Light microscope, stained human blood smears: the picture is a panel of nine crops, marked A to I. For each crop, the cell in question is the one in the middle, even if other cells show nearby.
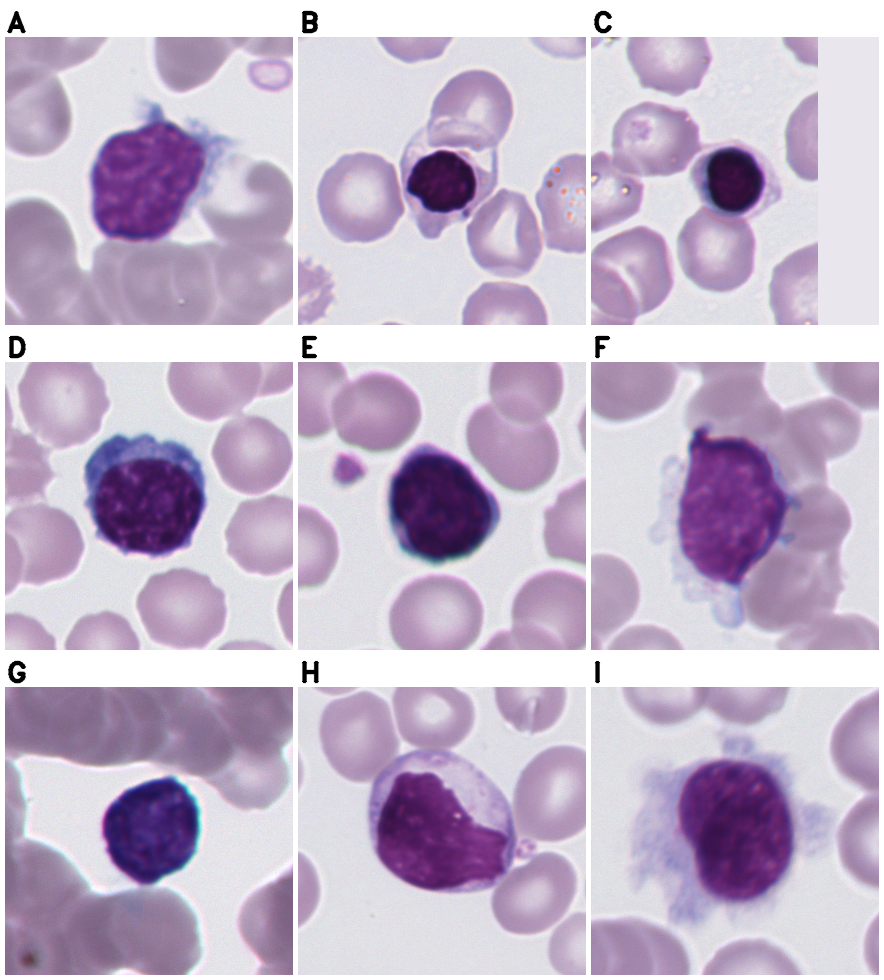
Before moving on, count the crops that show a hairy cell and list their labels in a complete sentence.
Crops A and I contain hairy cells, which puts the count at two.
